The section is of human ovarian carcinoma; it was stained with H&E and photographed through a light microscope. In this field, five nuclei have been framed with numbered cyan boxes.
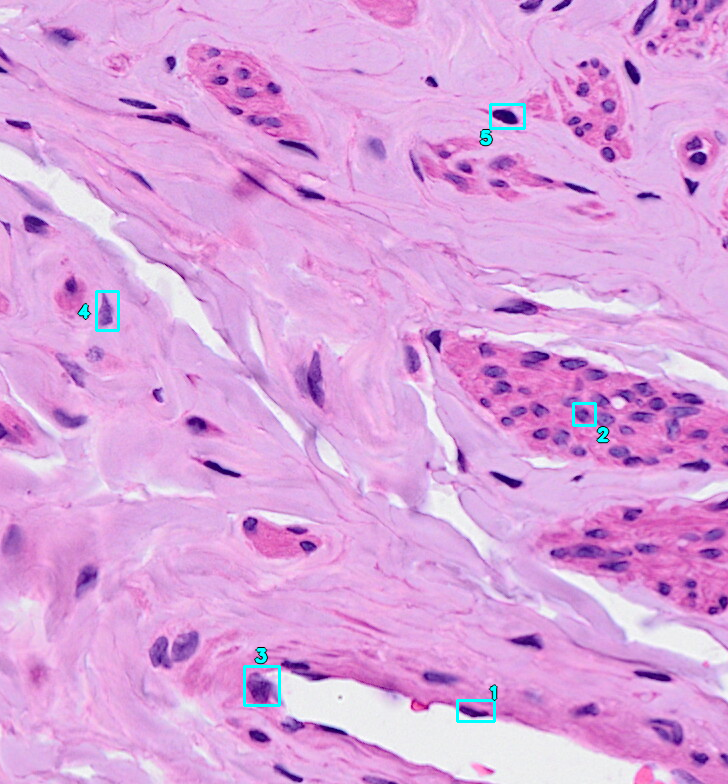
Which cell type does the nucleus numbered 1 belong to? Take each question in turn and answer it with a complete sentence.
Corresponding to an endothelial cell is the cell labelled 1.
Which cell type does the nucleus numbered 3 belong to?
Recognised here as an endothelial cell is the cell numbered 3.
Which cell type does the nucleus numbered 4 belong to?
Recognised here as a fibroblast is the cell numbered 4.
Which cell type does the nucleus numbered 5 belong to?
Cell 5 of the marked set is a lymphocyte.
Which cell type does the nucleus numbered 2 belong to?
The cell pointed out by number 2 is a smooth muscle cell.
